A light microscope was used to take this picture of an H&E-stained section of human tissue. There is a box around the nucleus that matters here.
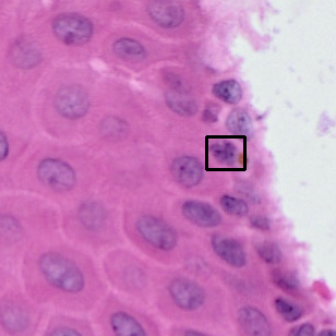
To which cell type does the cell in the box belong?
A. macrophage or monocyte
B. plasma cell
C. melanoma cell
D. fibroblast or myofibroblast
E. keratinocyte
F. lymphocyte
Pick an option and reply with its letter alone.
E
